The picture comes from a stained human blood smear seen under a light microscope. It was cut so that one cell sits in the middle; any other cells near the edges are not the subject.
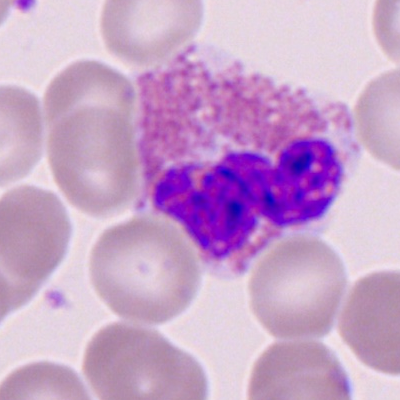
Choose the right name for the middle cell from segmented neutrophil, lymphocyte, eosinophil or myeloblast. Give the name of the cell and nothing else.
eosinophil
